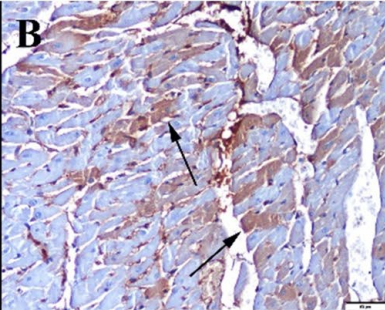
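Heart muscle is shown, with myocardial cells cut partly across and partly obliquely. Many of the fibres have brown-stained cytoplasm, while others remain pale blue. Clear spaces separate groups of fibres, and some brown material lies in these spaces between fibres.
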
